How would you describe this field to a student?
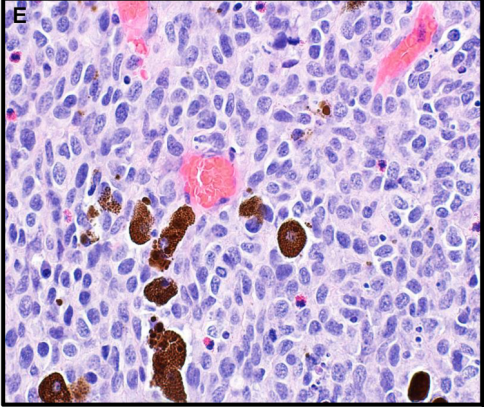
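Sheet of densely packed neoplastic cells with spindled to epithelioid shapes, oval to elongated vesicular nuclei and moderate pale eosinophilic cytoplasm. Scattered among them are rounded macrophages filled with coarse dark brown pigment, alongside a few small vessels containing red cells.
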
